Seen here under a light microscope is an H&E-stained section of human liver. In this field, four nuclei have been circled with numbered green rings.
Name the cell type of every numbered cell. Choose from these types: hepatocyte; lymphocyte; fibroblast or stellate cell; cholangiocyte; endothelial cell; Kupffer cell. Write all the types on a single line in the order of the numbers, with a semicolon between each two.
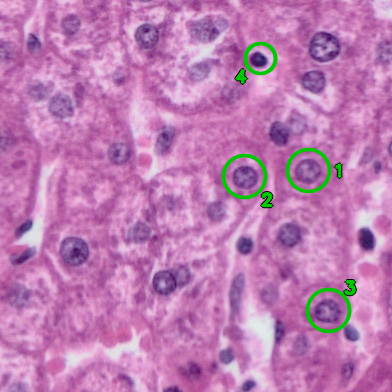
hepatocyte; hepatocyte; hepatocyte; lymphocyte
